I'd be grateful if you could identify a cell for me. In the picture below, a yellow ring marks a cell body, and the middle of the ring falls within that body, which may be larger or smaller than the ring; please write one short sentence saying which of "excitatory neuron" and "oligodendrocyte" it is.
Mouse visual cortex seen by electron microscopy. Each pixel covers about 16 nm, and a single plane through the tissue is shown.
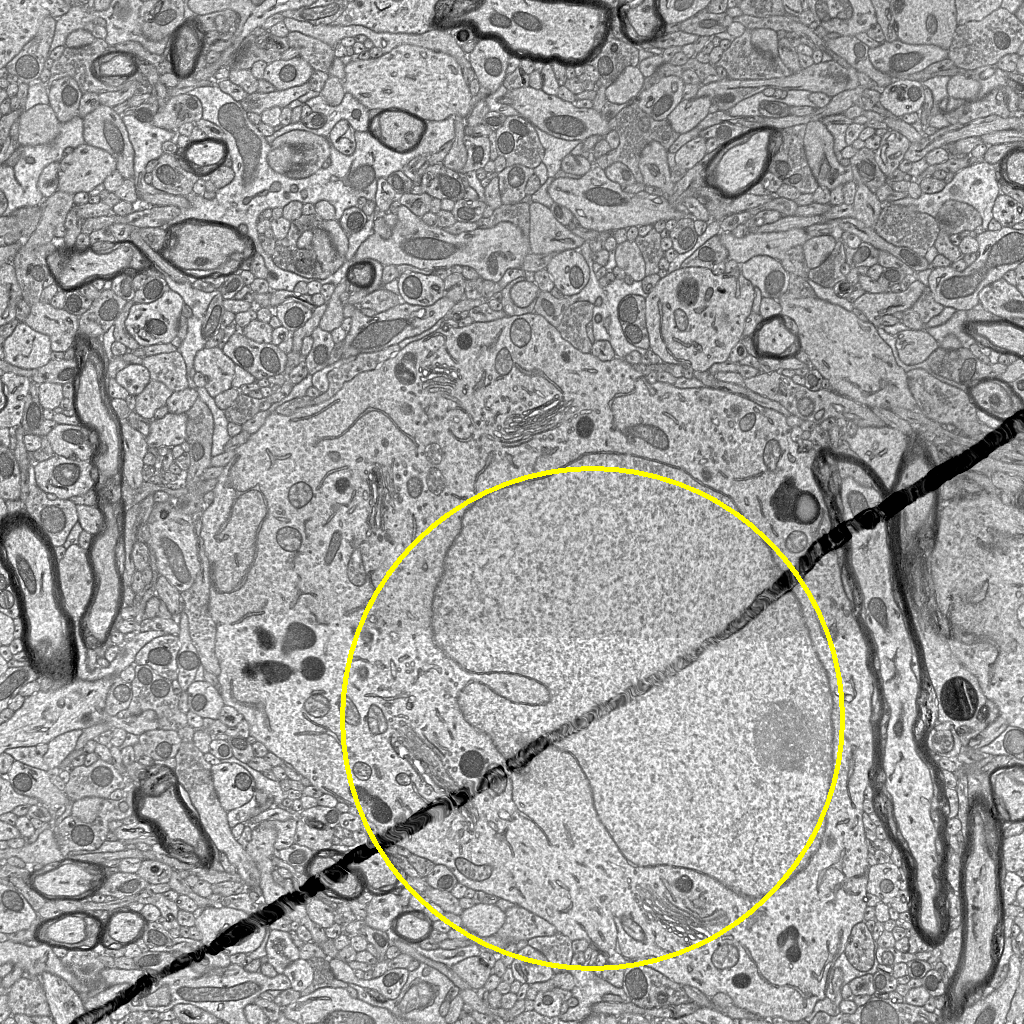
The cell under the ring's centre is an excitatory neuron.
